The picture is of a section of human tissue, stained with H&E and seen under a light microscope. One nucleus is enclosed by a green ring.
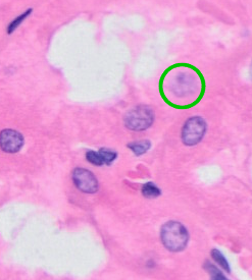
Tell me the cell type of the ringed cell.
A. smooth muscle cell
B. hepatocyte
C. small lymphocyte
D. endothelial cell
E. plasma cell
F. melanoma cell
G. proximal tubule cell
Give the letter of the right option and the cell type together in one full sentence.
Of all the options, G is right, since the ringed cell is a proximal tubule cell.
